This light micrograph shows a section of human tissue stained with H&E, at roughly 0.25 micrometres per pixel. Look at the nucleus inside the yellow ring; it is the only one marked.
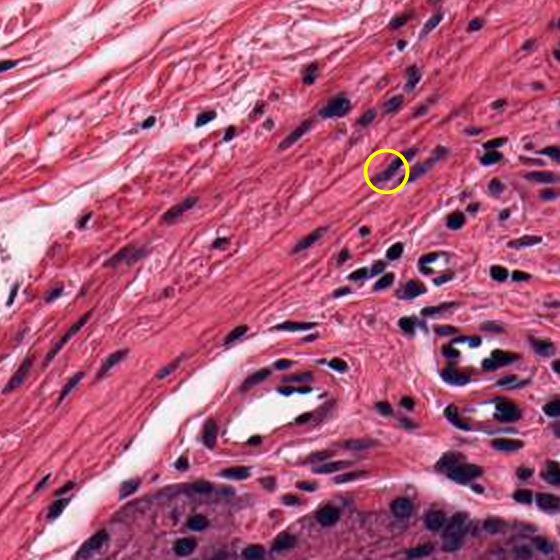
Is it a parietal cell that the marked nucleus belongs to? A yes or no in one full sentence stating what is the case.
No, the marked nucleus is not a component of a parietal cell.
